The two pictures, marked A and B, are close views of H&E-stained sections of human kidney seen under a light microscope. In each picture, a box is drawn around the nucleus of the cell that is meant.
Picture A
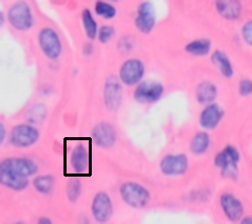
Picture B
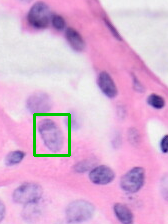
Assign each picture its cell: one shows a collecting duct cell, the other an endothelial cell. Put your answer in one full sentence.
Picture A shows an endothelial cell and picture B shows a collecting duct cell.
